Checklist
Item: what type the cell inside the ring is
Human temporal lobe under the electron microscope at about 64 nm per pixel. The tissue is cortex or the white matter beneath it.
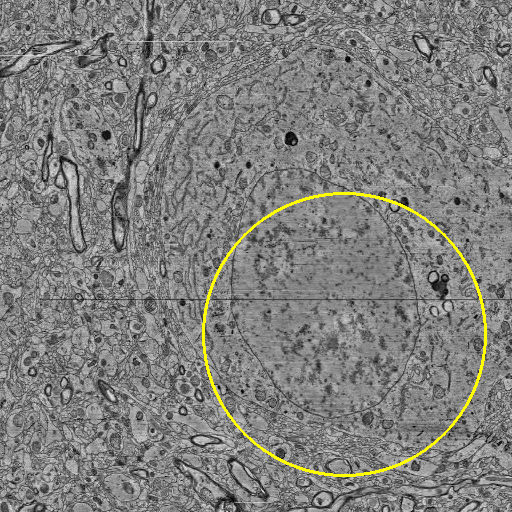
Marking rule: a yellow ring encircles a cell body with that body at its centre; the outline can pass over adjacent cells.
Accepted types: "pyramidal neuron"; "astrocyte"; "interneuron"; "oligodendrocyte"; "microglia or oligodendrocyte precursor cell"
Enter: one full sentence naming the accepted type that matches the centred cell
The entry is that a pyramidal neuron lies at the centre of the yellow ring.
